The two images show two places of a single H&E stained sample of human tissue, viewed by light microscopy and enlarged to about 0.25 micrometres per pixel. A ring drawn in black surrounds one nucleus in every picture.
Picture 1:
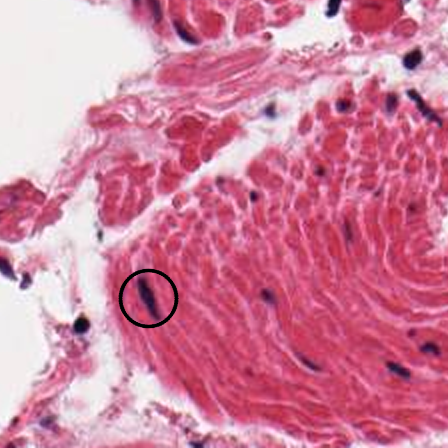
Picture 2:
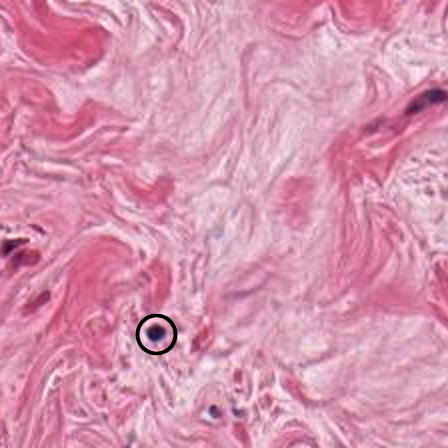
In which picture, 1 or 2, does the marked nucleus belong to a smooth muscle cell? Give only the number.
1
